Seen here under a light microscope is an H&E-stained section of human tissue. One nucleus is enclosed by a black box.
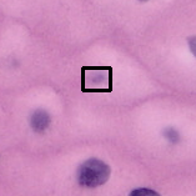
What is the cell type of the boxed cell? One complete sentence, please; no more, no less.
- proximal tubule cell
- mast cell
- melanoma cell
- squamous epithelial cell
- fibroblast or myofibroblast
The identity of the boxed cell: it is a squamous epithelial cell.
